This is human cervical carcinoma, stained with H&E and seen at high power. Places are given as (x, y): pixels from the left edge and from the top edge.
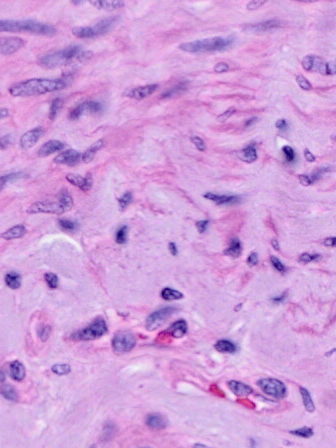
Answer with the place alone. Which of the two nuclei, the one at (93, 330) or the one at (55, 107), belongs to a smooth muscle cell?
(55, 107)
